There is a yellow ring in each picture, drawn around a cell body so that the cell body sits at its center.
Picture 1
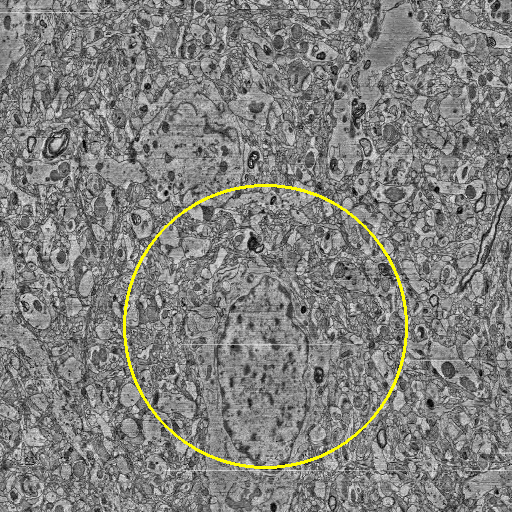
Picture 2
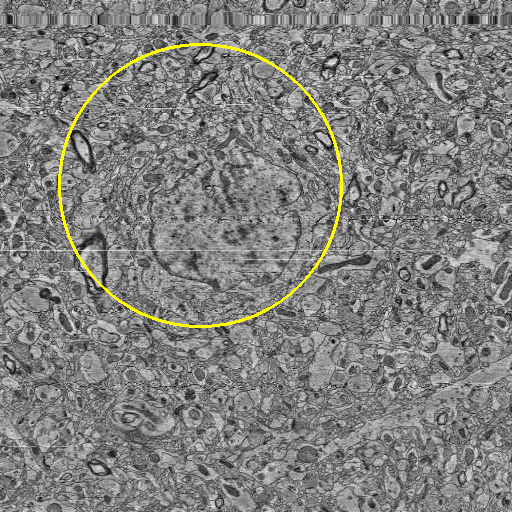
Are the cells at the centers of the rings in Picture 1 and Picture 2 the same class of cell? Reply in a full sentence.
No, the two cells are two classes of cell.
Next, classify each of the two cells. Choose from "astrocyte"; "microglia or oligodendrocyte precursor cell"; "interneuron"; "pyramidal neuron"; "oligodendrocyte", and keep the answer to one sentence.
In the first picture it is a microglial cell or oligodendrocyte precursor cell; in the second it is an interneuron.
